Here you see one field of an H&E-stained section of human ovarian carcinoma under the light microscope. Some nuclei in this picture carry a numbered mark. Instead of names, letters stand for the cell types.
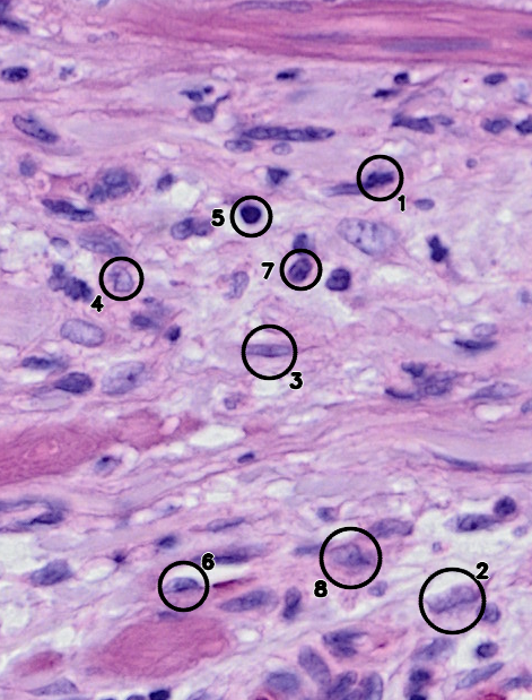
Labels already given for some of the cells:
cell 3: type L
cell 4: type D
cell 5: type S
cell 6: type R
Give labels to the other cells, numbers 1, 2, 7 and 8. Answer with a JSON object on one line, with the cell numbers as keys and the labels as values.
{"1": "type S", "2": "type L", "7": "type S", "8": "type R"}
